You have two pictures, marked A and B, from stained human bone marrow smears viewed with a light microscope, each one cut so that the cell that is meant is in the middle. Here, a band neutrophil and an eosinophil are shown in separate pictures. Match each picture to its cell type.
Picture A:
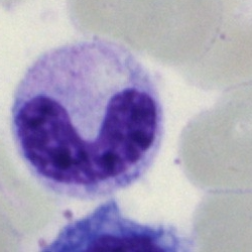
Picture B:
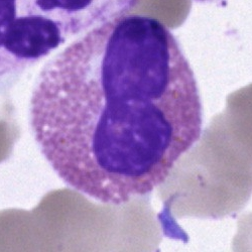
A: band neutrophil
B: eosinophil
